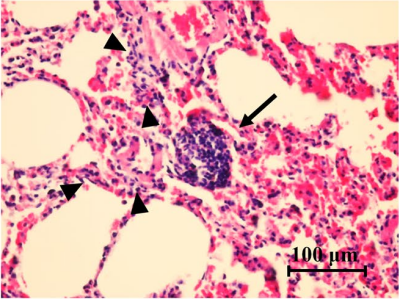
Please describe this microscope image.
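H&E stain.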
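This lung section shows alveolar parenchyma with a compact cluster of crowded cells with small, dark purple nuclei near the centre. The cluster is sharply set off from the surrounding tissue. Around it the alveolar septa are thickened and rich in cells, with elongated nuclei. Much of the interstitium and several airspaces are filled with red-staining red blood cells. Large empty alveolar spaces remain between the thickened walls.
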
